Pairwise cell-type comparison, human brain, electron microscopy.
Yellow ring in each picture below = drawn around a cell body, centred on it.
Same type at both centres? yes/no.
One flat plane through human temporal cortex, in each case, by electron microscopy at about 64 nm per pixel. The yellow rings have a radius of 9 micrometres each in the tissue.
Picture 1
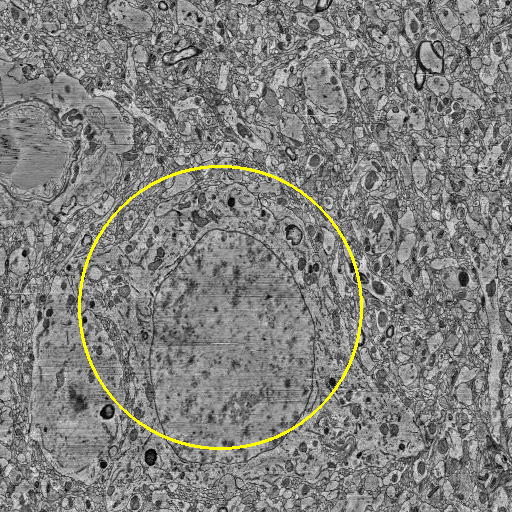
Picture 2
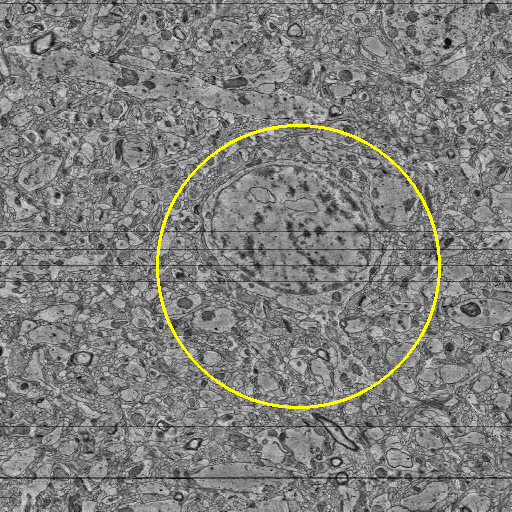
no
